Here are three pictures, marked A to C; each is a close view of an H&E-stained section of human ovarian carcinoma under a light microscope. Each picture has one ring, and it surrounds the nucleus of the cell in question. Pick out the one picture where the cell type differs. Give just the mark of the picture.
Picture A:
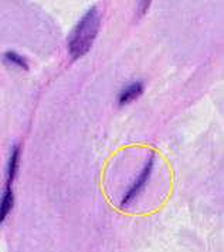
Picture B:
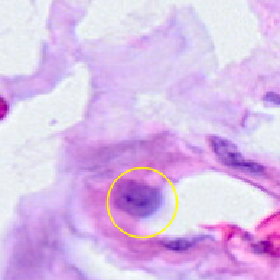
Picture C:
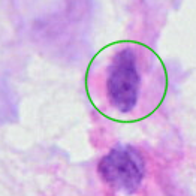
B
